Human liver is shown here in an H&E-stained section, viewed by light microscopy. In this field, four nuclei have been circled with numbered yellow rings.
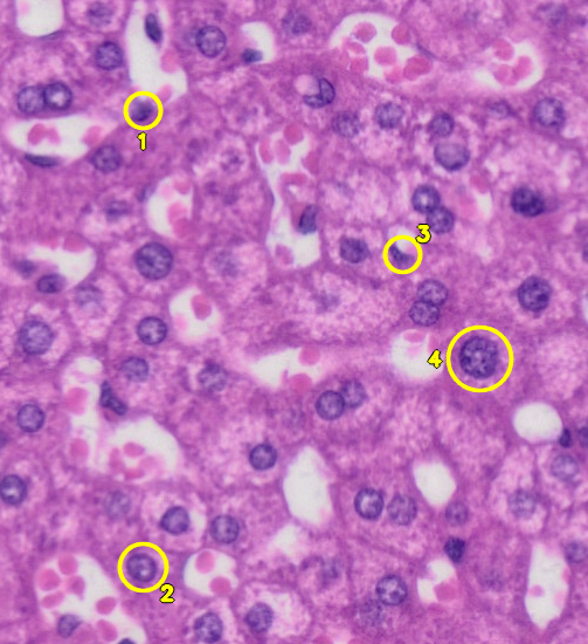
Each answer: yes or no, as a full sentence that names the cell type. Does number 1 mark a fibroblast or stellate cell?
Yes, correct, the cell with the number 1 is a fibroblast or stellate cell.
